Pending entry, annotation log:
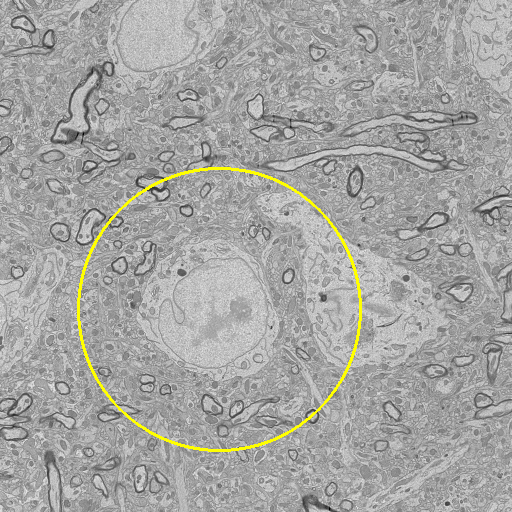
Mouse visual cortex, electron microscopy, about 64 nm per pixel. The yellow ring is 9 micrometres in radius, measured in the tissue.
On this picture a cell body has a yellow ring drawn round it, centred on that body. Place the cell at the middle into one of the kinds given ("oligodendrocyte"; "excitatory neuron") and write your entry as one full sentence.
The cell body at the middle of the yellow ring belongs to an excitatory neuron.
